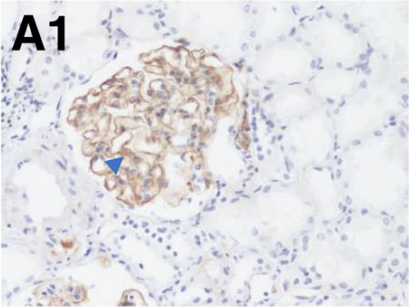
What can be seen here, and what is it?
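Renal cortex with one glomerulus surrounded by tubules. The glomerular capillary loops are outlined by continuous brown staining, giving a lacy network across the whole tuft. Bowman's space is visible as a pale rim around the tuft. The surrounding tubules have pale cytoplasm and blue round nuclei, with little brown except at a few small vessels at the lower edge.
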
